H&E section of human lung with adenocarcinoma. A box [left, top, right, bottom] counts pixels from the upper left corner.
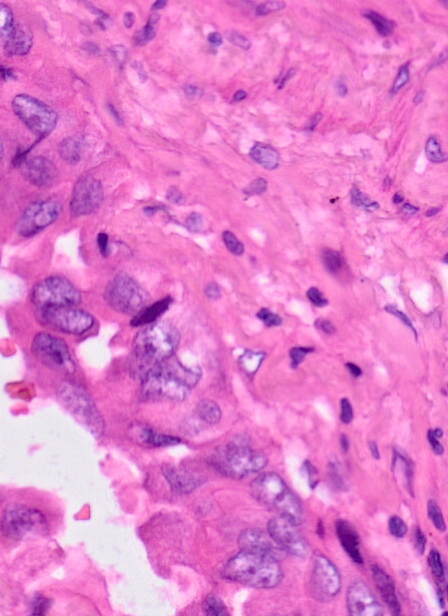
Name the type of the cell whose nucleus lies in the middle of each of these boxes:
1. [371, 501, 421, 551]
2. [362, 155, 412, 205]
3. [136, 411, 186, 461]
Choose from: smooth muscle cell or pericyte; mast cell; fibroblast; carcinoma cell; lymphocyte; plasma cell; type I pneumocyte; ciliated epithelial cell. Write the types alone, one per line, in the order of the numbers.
lymphocyte
smooth muscle cell or pericyte
carcinoma cell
